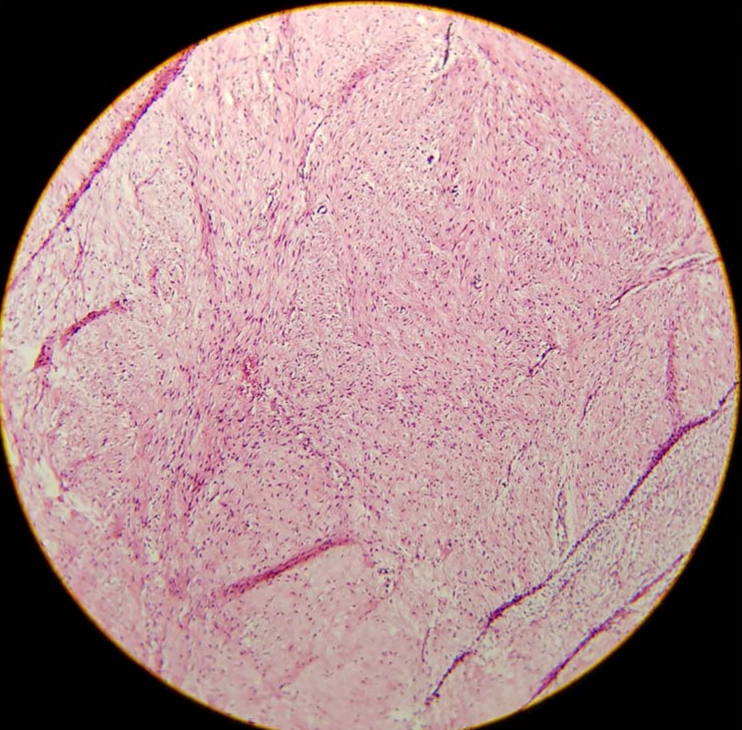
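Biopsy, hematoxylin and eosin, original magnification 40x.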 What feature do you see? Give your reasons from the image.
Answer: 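The elongated cells form bundles that run in different directions. The bundles sweep and curve across the field.
Answer: whorled bundles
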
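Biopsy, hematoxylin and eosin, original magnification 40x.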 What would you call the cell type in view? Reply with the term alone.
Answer: Spindle-shaped cells.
